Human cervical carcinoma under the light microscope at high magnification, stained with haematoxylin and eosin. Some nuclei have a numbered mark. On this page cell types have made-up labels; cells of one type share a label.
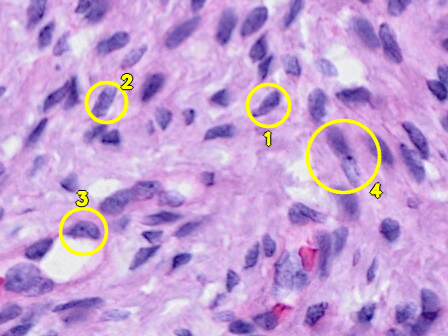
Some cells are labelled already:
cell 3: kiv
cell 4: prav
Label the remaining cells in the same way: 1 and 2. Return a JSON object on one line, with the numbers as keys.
{"1": "prav", "2": "prav"}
